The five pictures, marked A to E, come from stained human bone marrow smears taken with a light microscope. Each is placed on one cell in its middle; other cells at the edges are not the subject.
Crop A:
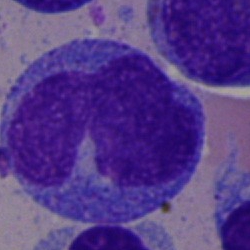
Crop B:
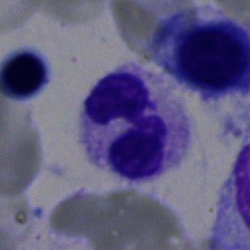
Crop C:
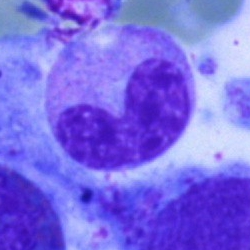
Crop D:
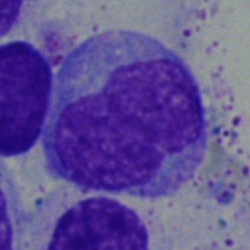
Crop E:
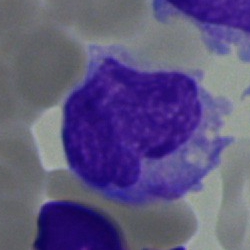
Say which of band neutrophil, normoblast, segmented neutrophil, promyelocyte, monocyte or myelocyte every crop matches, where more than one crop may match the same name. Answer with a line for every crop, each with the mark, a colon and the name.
A: monocyte
B: segmented neutrophil
C: band neutrophil
D: monocyte
E: monocyte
